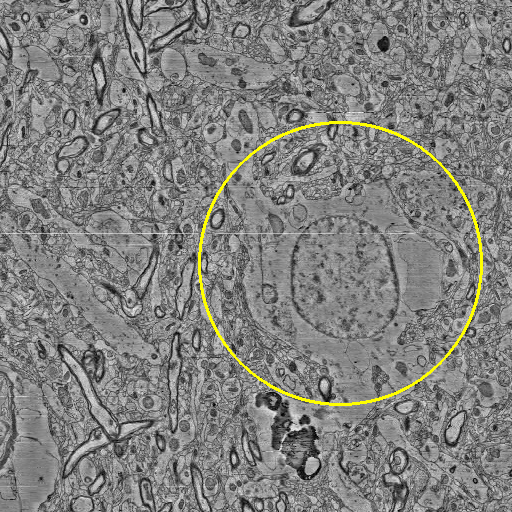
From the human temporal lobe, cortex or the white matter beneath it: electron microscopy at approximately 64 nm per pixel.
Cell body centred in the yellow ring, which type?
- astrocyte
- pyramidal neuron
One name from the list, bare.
astrocyte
